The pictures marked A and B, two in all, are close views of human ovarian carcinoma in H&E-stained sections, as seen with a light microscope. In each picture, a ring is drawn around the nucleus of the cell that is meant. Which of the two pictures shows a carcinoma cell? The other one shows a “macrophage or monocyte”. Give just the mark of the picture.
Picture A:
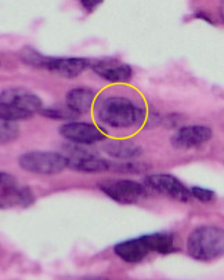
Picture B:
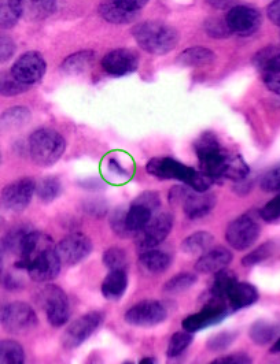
A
